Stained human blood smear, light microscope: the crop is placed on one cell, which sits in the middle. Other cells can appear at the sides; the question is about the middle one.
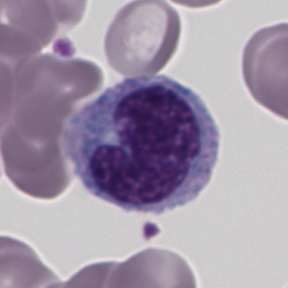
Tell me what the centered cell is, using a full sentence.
The centrally placed cell is classified as a monocyte.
